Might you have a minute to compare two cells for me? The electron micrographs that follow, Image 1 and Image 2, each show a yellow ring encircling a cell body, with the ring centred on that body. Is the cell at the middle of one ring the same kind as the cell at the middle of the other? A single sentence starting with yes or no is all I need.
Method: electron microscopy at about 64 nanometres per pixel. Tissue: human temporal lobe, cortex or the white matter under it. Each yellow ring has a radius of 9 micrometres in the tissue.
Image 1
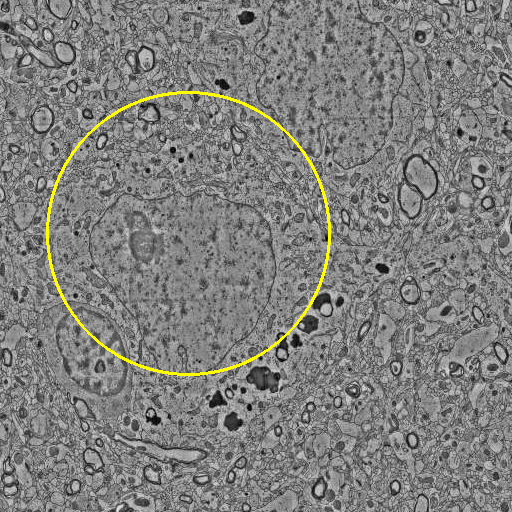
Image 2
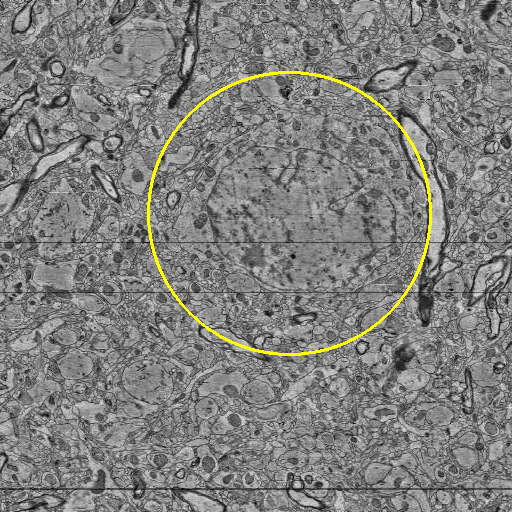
No, the cells in the middle of the two rings are of two separate kinds.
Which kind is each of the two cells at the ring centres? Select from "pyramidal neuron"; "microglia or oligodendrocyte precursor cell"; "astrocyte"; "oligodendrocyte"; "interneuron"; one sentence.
The cell at the centre of the ring is a pyramidal neuron in the first picture and an interneuron in the second.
